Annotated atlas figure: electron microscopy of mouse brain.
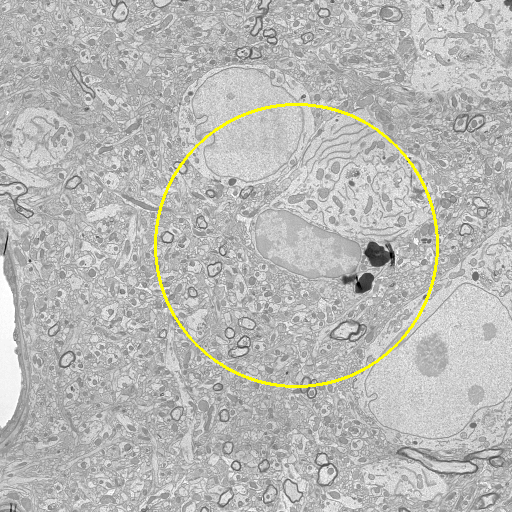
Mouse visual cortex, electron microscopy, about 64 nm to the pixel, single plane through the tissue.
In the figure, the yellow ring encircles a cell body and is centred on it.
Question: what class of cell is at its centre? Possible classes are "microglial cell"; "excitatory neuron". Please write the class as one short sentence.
The yellow ring is drawn around a microglial cell.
